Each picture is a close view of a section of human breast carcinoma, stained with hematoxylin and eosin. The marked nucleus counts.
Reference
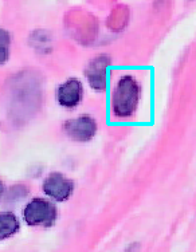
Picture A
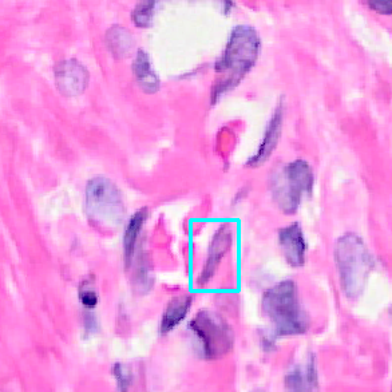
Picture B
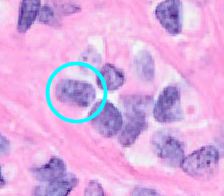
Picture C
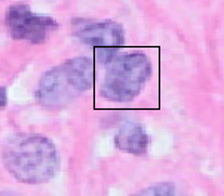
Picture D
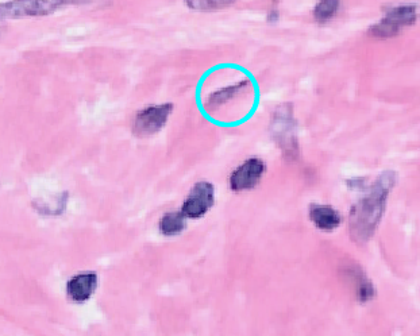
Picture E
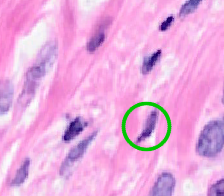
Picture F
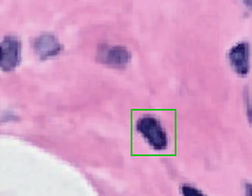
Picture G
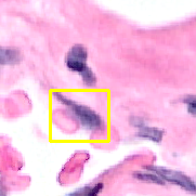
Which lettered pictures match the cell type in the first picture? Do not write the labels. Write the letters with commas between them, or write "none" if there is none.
F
